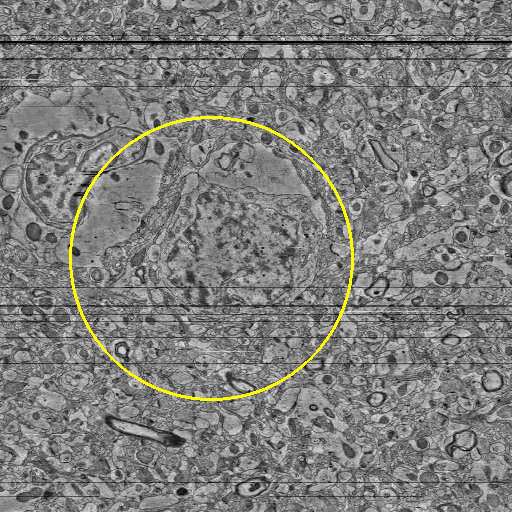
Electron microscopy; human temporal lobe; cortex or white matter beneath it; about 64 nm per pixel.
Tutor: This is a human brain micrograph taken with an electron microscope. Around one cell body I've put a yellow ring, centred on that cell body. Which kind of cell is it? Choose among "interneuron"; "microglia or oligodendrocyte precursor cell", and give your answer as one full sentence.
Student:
Going by your list, the cell centred in the yellow ring is an interneuron.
